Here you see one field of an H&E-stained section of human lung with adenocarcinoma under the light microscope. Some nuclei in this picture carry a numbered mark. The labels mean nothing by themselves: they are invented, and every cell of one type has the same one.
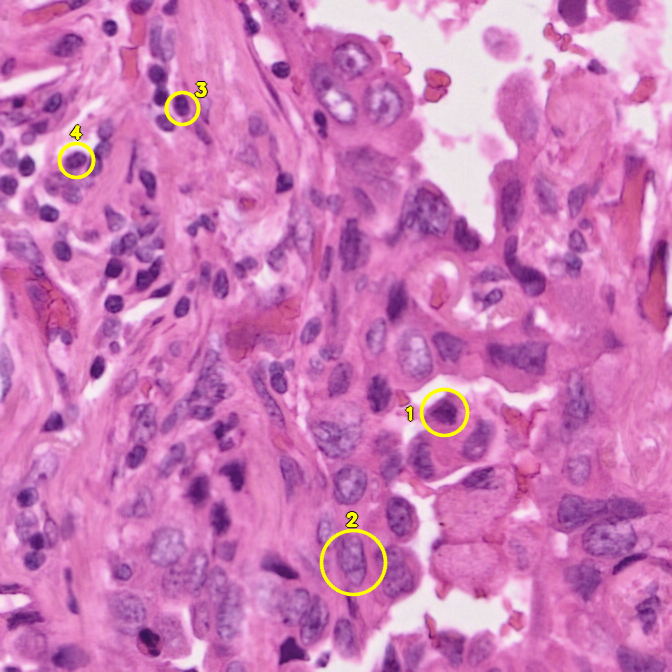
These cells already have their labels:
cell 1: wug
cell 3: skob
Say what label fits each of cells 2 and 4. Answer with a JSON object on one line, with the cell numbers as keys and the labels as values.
{"2": "wug", "4": "skob"}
